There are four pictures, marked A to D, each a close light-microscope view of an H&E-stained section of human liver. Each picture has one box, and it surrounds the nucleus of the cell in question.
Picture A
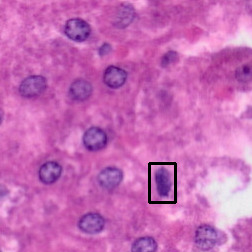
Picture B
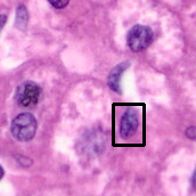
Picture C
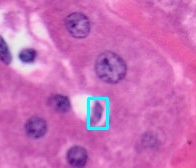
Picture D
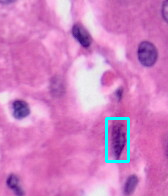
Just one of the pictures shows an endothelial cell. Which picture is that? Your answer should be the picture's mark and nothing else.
C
